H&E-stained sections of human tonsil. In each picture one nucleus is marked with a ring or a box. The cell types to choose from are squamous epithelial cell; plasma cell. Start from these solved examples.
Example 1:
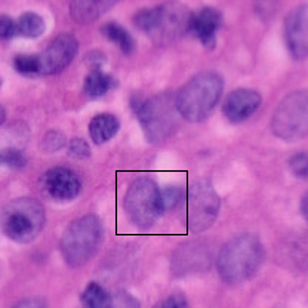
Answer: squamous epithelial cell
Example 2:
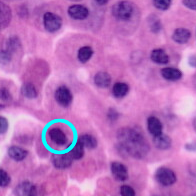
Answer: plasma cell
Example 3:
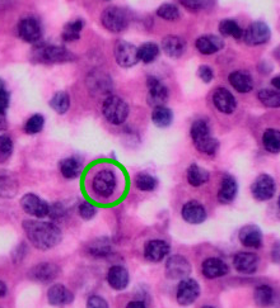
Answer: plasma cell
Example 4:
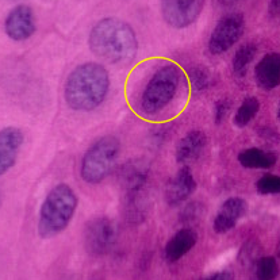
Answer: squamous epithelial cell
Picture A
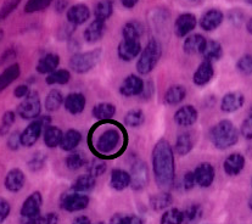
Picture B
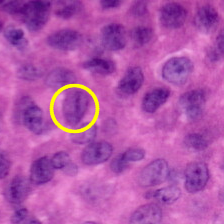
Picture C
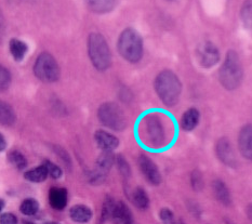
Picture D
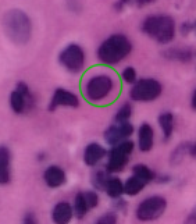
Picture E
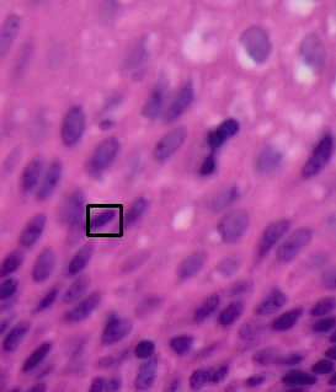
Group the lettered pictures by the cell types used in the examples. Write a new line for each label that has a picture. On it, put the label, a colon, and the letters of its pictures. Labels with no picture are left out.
squamous epithelial cell: B, C, D, E
plasma cell: A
